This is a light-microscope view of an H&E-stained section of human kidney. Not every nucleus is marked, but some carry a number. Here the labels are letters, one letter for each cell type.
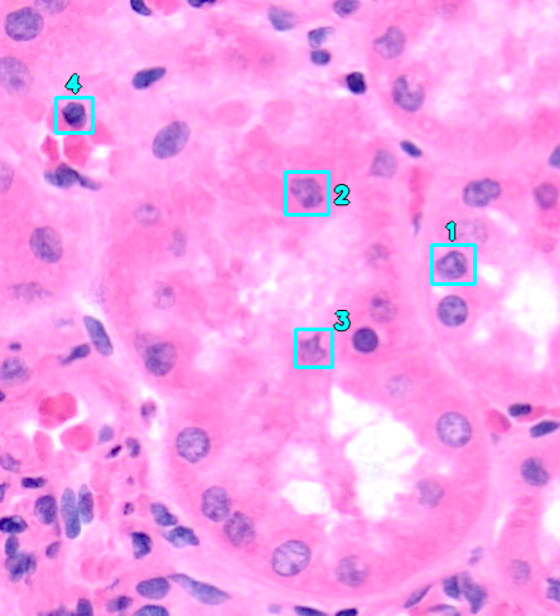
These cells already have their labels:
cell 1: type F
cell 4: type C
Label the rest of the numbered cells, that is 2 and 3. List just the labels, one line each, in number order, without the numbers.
type F
type F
